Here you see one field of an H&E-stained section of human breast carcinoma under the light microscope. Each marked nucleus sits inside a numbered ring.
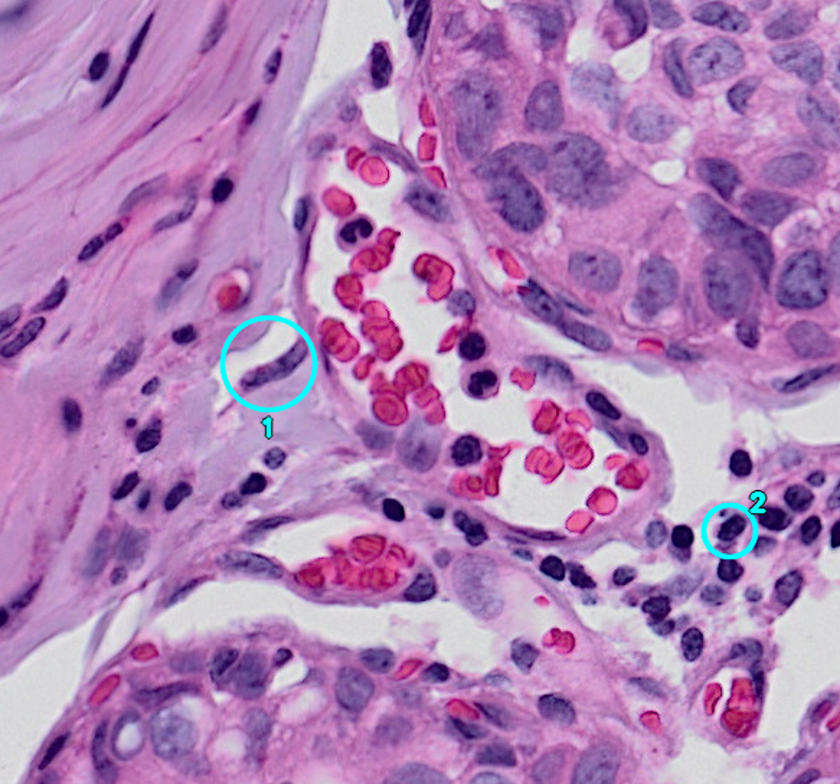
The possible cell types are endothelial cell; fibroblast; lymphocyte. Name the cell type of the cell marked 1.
fibroblast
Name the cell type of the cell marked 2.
lymphocyte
